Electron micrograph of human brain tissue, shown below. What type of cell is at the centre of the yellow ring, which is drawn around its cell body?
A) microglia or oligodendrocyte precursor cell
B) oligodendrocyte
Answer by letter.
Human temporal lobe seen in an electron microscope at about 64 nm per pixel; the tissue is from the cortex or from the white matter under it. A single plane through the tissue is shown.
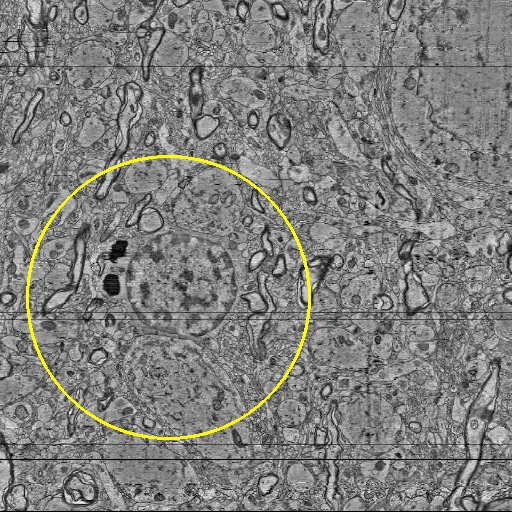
B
